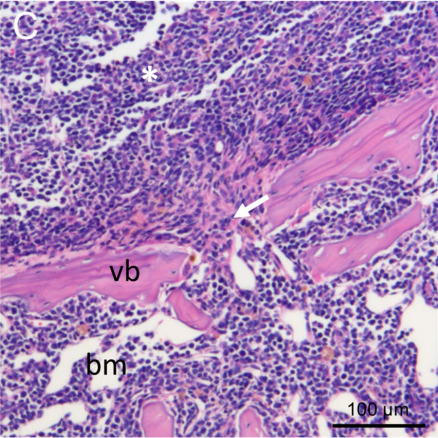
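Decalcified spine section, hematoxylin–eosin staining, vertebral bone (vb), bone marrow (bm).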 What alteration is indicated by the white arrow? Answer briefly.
Discontinuities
